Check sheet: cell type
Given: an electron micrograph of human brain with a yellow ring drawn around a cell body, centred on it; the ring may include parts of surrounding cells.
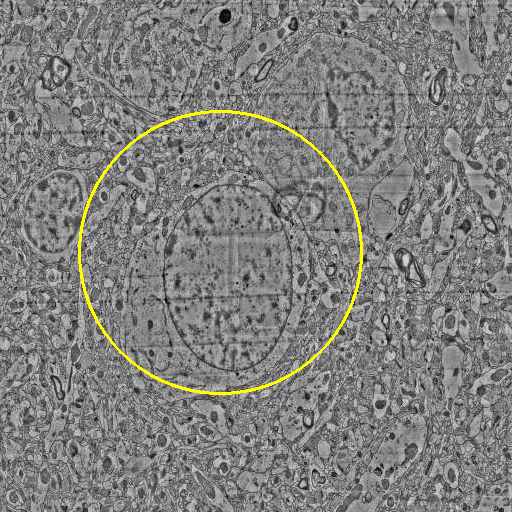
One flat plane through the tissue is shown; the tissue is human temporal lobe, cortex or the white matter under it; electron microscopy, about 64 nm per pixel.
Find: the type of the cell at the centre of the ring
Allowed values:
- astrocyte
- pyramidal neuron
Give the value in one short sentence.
Here the ringed cell is a pyramidal neuron.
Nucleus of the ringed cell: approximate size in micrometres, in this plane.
The nucleus appears roughly 12 by 8 micrometres in this plane.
